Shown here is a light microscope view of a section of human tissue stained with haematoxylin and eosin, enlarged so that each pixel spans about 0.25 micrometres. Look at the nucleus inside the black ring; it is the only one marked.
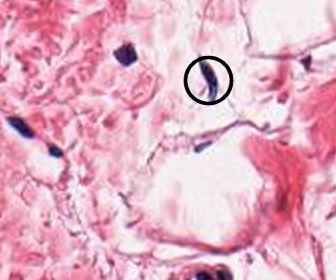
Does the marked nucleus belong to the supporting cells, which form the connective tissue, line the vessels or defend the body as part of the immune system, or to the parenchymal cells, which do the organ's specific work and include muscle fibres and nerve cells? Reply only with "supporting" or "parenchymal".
supporting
